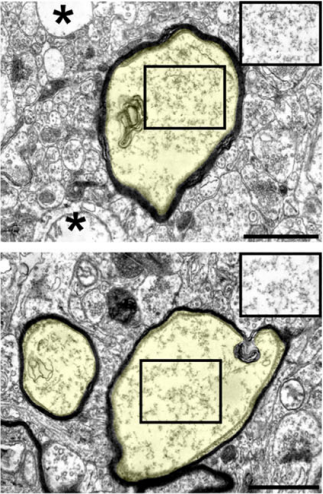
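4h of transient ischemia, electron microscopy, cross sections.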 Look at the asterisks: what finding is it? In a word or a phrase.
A: Cellular edema.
